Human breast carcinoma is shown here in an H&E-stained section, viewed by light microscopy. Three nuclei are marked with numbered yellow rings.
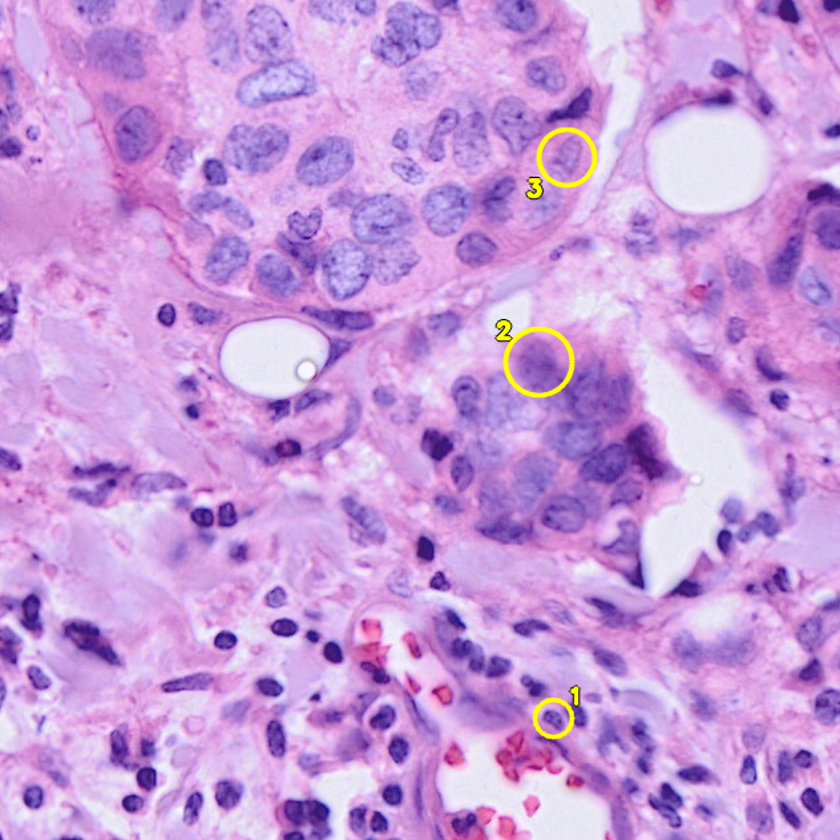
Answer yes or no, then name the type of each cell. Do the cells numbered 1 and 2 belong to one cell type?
No, cell 1 is categorized as a lymphocyte, while cell 2 is categorized as a carcinoma cell.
